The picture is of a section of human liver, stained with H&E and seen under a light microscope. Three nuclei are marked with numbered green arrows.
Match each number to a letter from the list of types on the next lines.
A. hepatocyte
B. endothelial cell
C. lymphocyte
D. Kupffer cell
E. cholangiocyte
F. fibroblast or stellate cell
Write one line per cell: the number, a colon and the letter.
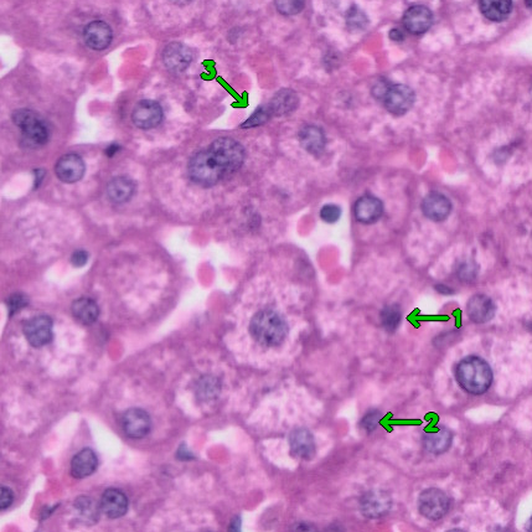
1: F
2: D
3: B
